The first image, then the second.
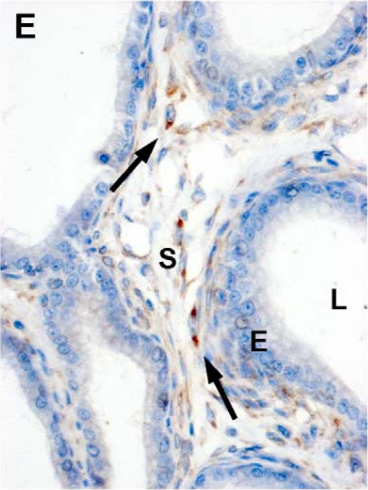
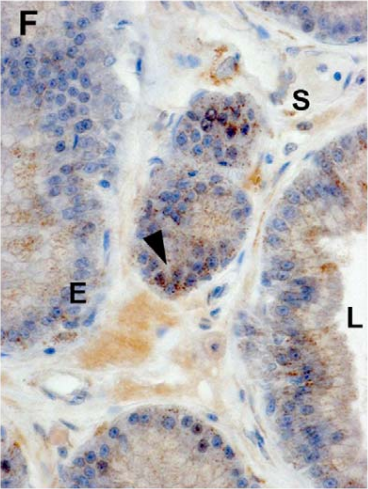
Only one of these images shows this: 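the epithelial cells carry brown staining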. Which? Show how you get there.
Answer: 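First image: the epithelium lining the lumens is blue with no brown, brown only in scattered stromal cells. Second image: the epithelial cytoplasm shows a pale brown granular tint. That points to this answer: the second image.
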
